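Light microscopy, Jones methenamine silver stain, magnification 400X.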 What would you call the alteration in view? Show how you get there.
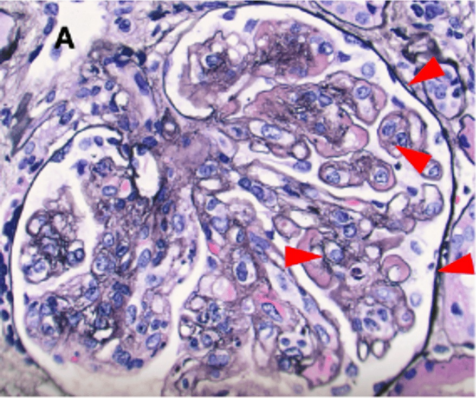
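The glomerular tuft is crowded with many nuclei. Capillary lumens are largely filled and narrowed by cells. Mesangial areas in the centre of the lobules are expanded and cellular. The answer: mesangial and endocapillary hypercellularity.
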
